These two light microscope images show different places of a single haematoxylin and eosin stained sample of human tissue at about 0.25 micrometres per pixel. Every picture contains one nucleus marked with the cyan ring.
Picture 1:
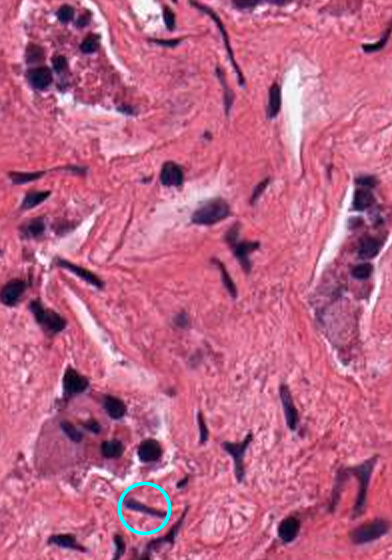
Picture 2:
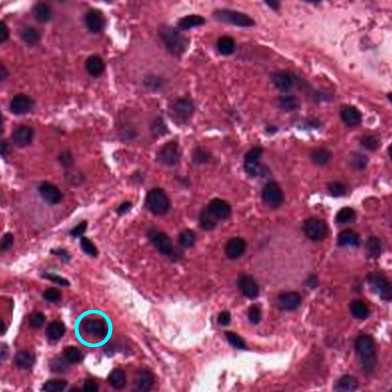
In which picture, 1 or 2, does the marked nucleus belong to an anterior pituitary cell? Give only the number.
2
